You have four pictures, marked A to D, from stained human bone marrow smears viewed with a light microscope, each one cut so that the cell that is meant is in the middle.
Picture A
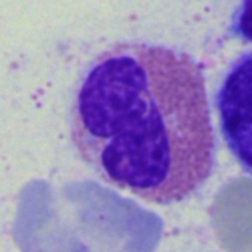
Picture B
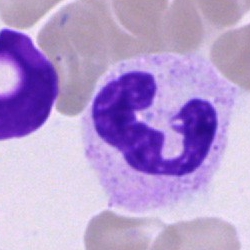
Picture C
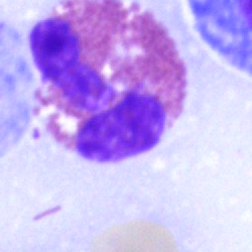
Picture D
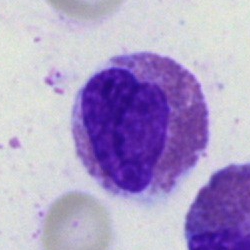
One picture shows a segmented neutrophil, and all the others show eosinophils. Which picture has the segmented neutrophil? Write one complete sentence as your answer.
The cell in picture B is the segmented neutrophil.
